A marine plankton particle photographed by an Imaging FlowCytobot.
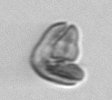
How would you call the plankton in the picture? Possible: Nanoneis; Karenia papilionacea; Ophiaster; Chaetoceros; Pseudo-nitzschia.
I would call it Karenia papilionacea.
